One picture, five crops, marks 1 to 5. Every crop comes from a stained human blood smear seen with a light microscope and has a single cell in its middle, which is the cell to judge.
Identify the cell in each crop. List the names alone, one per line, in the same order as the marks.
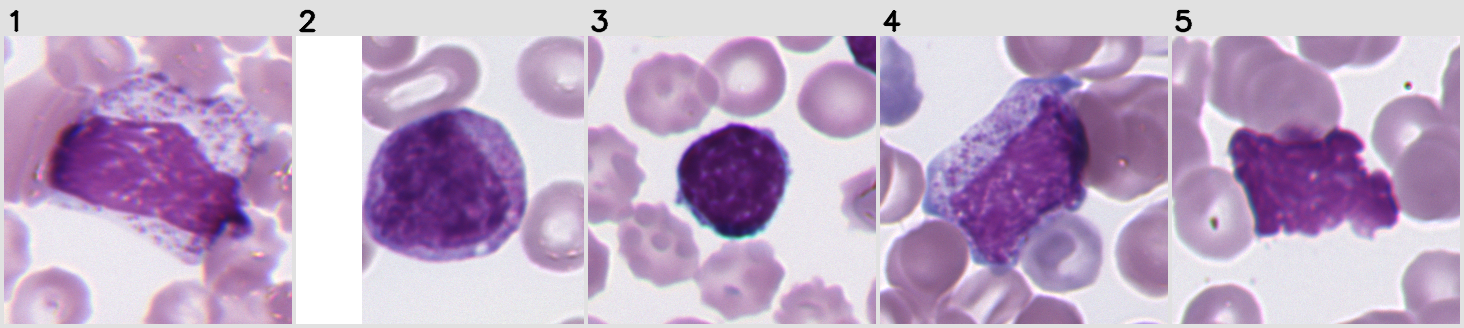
myelocyte
atypical promyelocyte
typical lymphocyte
promyelocyte
smudge cell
